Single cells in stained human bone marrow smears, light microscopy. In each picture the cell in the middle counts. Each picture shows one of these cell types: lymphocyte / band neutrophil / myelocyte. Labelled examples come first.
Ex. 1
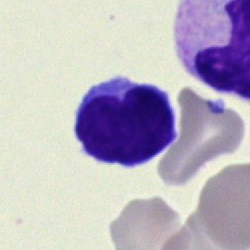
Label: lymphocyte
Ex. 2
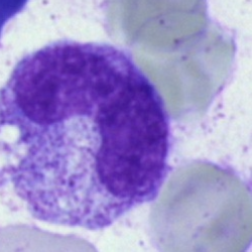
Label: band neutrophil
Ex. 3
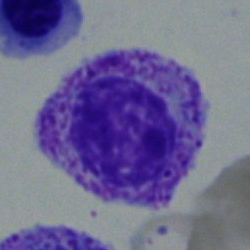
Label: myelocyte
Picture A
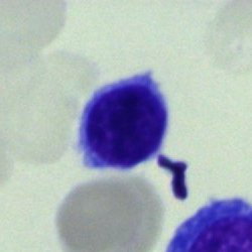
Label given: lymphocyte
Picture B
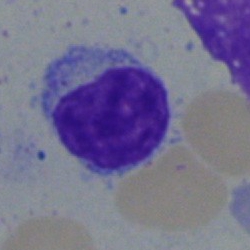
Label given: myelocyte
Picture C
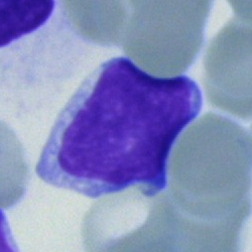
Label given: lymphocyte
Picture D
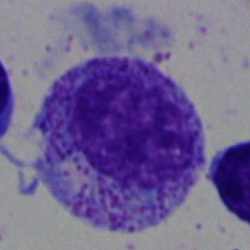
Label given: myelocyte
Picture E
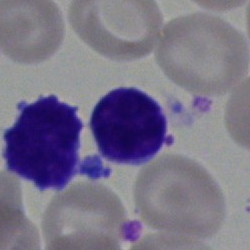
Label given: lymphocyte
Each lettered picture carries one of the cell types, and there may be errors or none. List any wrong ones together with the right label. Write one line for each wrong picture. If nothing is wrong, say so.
B is labelled myelocyte; correct label: lymphocyte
